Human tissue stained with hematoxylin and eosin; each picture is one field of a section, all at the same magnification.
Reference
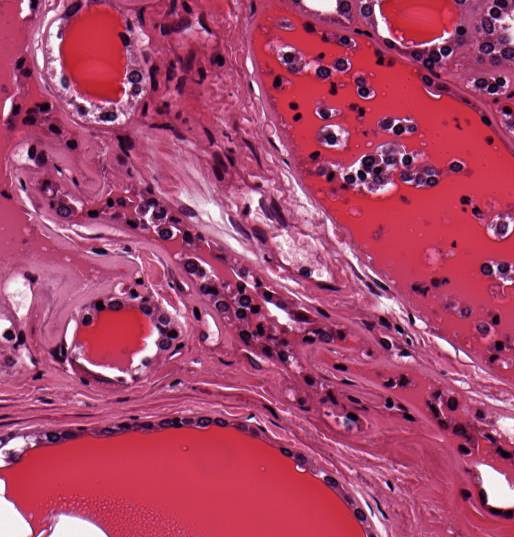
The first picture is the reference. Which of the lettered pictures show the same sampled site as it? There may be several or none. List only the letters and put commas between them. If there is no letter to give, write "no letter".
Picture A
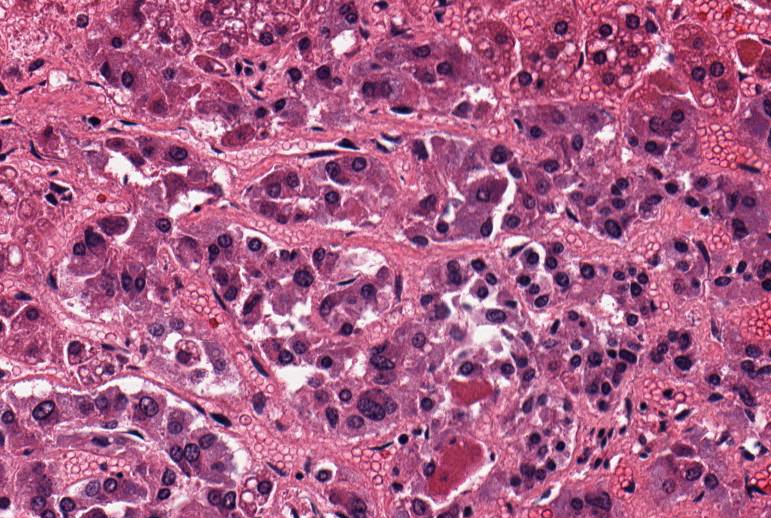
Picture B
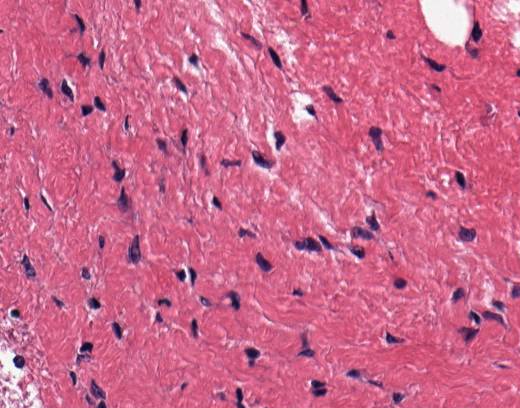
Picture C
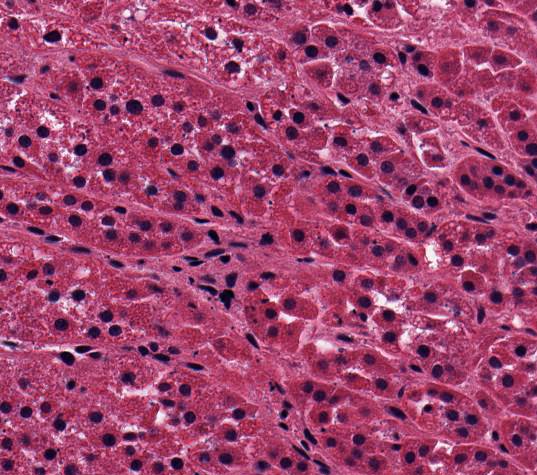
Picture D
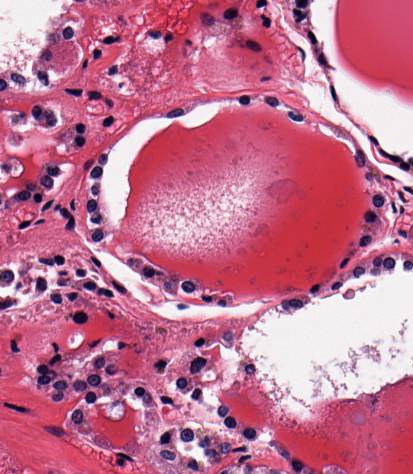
D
